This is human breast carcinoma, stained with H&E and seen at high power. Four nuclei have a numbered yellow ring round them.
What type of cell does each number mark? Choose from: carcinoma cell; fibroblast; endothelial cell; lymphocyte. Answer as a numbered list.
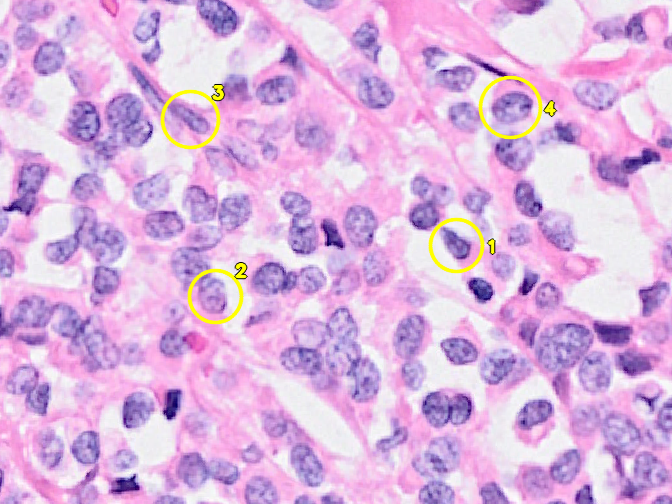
1. carcinoma cell
2. carcinoma cell
3. endothelial cell
4. carcinoma cell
